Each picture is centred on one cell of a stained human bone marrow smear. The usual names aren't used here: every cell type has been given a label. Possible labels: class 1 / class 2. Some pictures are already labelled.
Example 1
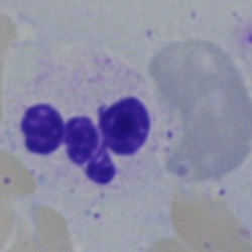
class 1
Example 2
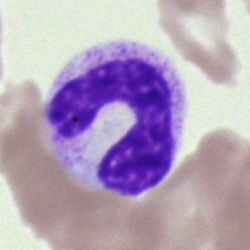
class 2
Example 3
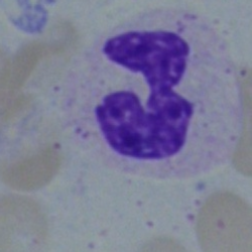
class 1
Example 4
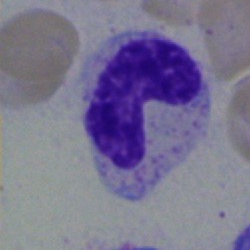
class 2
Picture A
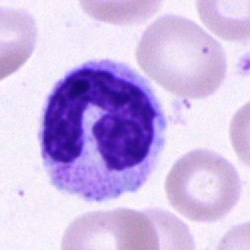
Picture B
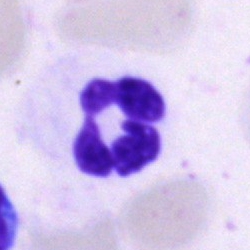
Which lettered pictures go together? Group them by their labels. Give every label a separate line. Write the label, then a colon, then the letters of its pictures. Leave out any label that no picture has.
class 1: B
class 2: A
